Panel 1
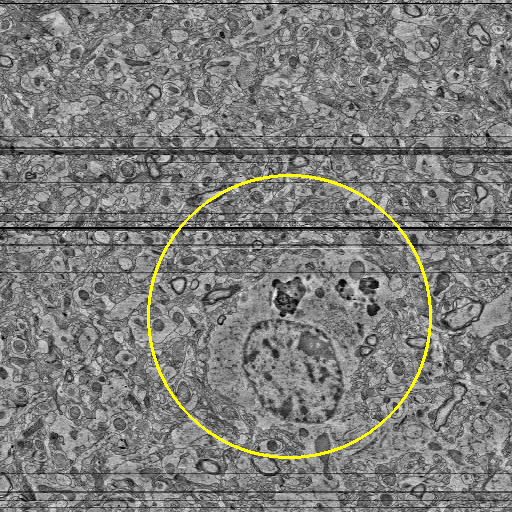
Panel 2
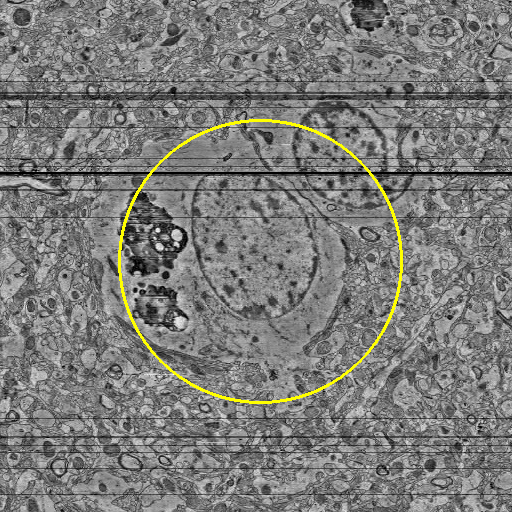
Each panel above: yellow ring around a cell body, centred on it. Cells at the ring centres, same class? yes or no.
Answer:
yes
